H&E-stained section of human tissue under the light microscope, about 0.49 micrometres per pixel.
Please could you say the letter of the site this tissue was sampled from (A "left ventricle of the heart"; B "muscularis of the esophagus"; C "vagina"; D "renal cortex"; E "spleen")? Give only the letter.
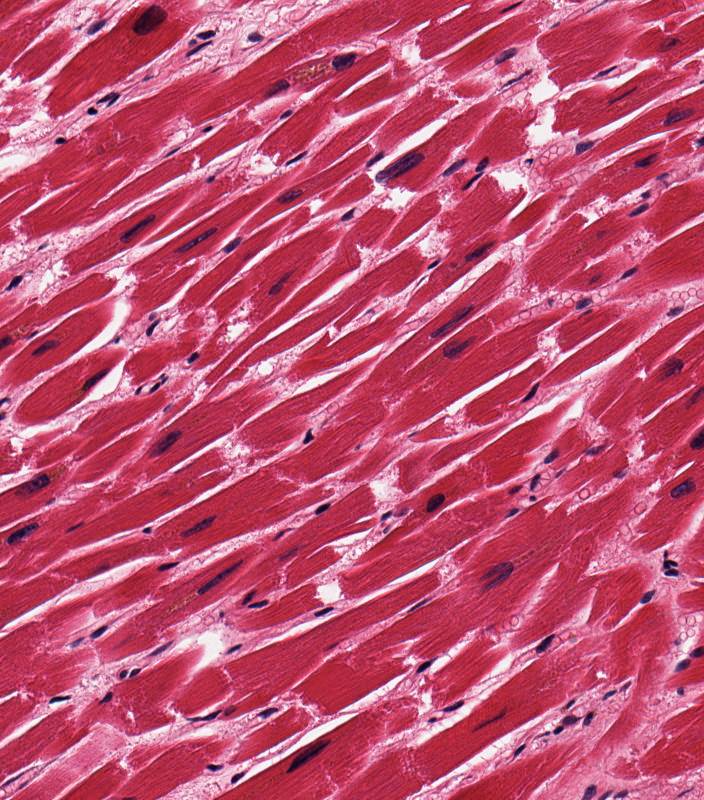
A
